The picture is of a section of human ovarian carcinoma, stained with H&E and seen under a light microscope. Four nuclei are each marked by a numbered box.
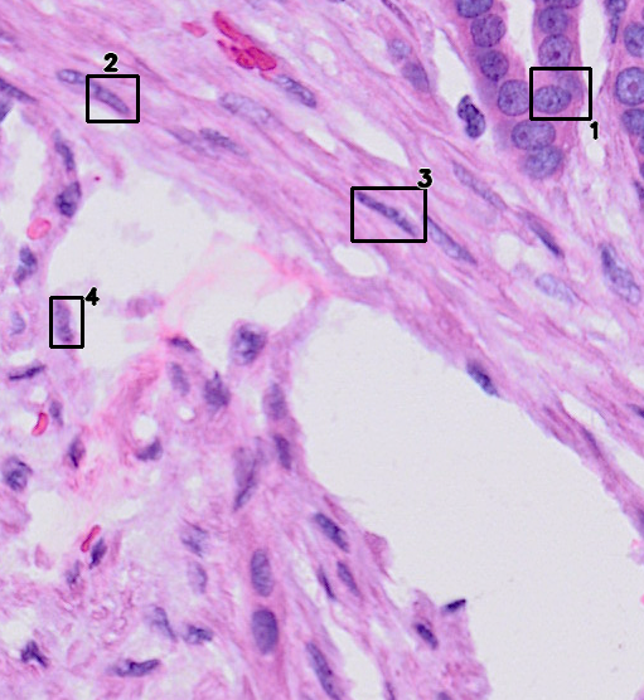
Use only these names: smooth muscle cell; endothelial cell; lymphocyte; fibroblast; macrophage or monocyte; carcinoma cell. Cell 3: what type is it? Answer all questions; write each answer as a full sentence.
Heads up, the cell numbered 3 is a fibroblast.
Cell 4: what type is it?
Cell 4, among those numbered, is a fibroblast.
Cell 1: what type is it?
Denoted by the label 1 in the section is a carcinoma cell.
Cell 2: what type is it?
Number 2 among the marked cells is a fibroblast.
